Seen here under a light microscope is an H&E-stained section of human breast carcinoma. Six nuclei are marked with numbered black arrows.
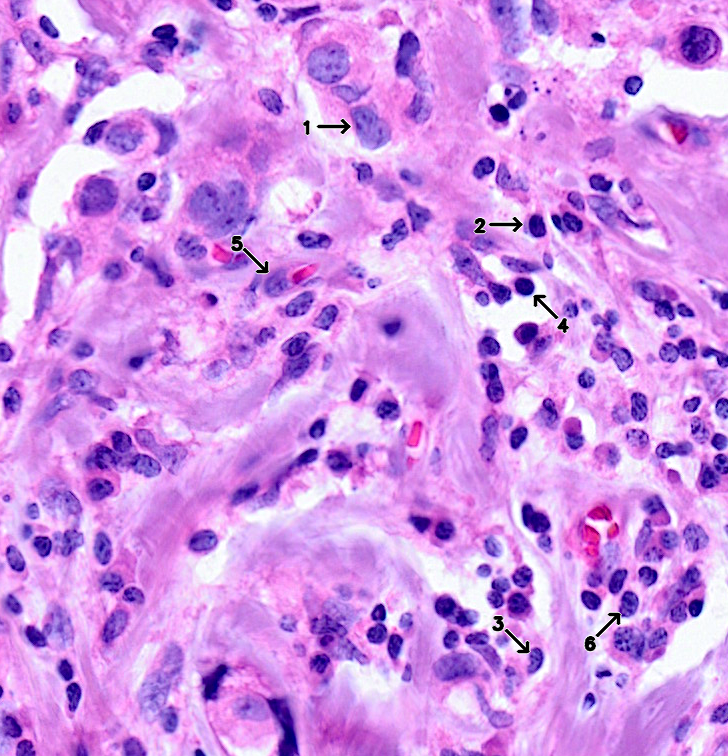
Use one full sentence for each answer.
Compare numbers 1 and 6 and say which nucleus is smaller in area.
With nucleus 1 about 2.5 times its size, nucleus 6 is the smaller of the two.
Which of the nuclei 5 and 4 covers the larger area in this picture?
It is nucleus 5, which covers about 2 times the area of nucleus 4.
